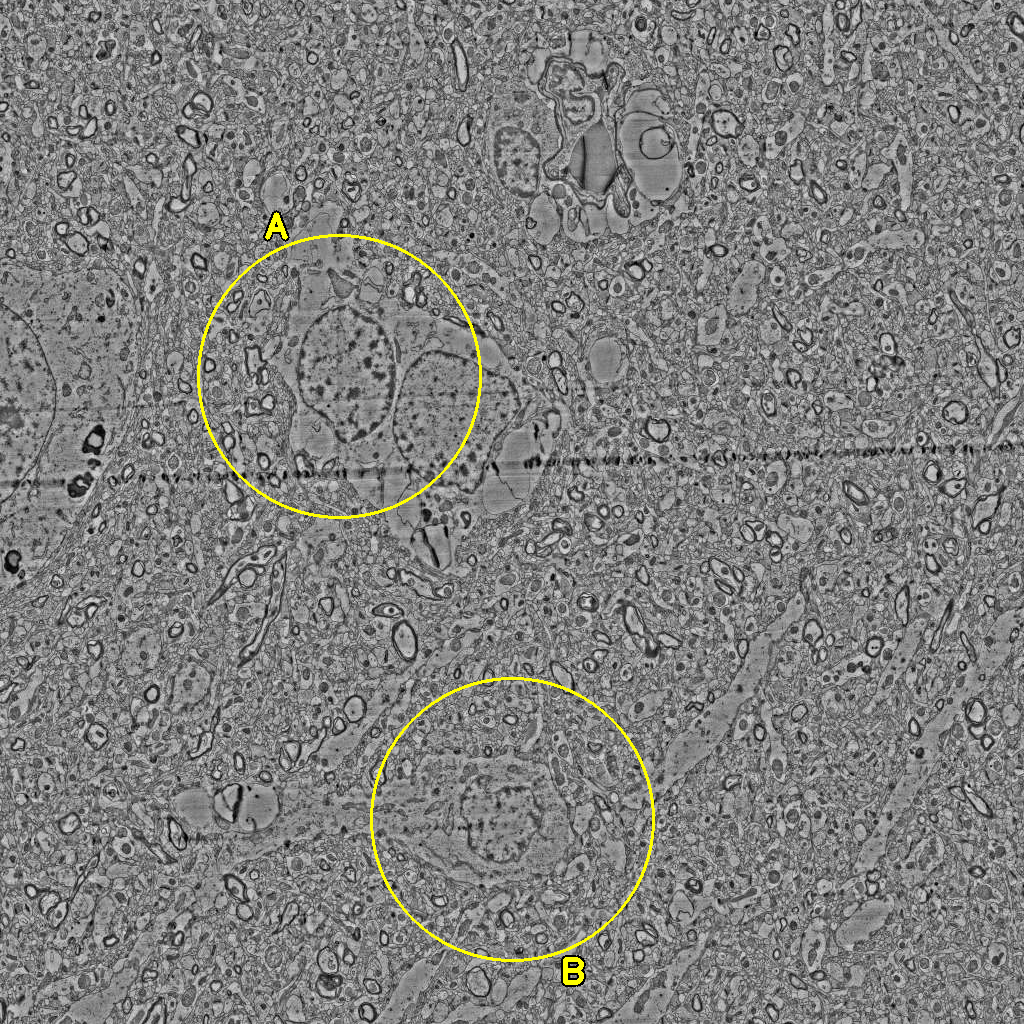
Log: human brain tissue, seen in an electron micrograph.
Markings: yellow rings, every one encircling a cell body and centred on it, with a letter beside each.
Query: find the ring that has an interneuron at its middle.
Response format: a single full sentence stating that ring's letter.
The letter B marks the ring centred on the cell asked for in the image.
